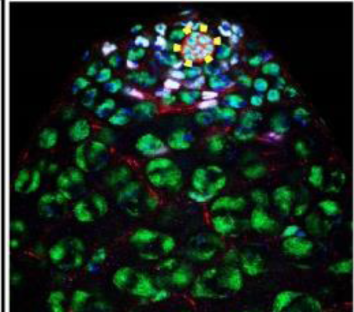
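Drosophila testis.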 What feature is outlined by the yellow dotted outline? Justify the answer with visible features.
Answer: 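A compact rosette of small, tightly packed nuclei sits at the apical tip. Red membrane signal rings the cells of the rosette.
Answer: hub region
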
